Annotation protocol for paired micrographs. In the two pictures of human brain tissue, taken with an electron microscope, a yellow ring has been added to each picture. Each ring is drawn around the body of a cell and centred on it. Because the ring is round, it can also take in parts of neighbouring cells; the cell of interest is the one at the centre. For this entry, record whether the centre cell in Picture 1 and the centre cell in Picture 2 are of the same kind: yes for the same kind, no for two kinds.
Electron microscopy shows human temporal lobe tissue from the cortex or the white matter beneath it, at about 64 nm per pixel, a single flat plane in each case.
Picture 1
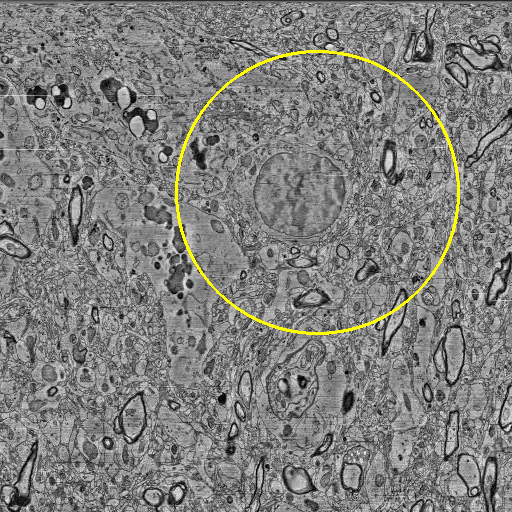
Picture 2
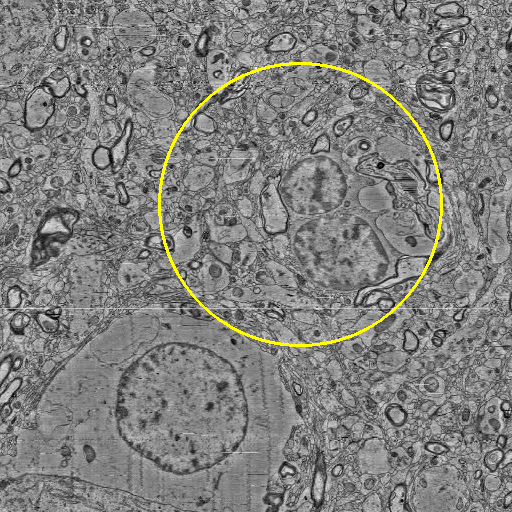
yes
